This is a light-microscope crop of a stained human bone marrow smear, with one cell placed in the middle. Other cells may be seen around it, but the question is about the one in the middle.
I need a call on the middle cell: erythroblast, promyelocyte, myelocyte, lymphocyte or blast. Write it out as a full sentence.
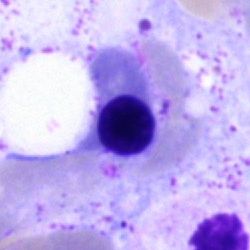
The cell positioned in the middle of the field is an erythroblast.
